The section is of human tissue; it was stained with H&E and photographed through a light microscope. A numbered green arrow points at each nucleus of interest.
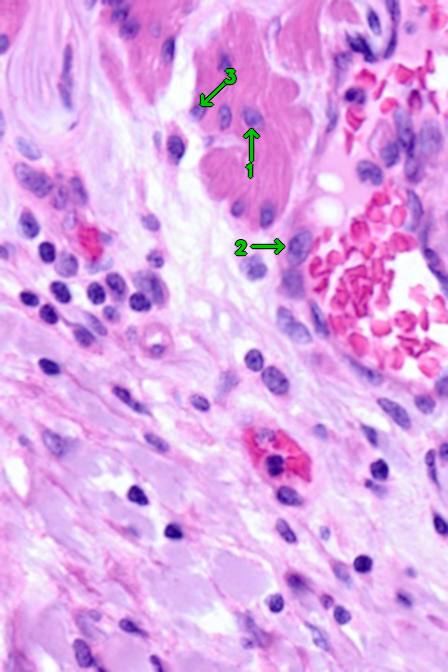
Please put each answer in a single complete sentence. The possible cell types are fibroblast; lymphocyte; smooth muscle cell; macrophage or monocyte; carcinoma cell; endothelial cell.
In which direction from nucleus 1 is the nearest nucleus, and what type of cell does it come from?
The closest nucleus belongs to a smooth muscle cell and sits to the left of nucleus 1.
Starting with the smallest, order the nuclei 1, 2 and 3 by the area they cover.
By area, going up from the smallest, they rank 3, 1, 2.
